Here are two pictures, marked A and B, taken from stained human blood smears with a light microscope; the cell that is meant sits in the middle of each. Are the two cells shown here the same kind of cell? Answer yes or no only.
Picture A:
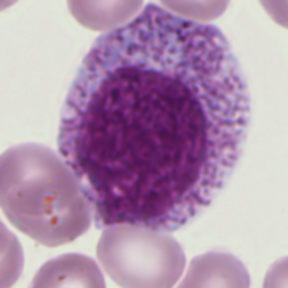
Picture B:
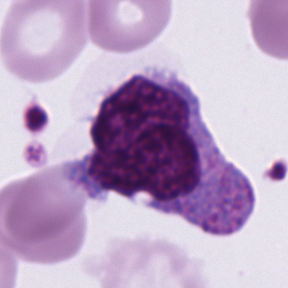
no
